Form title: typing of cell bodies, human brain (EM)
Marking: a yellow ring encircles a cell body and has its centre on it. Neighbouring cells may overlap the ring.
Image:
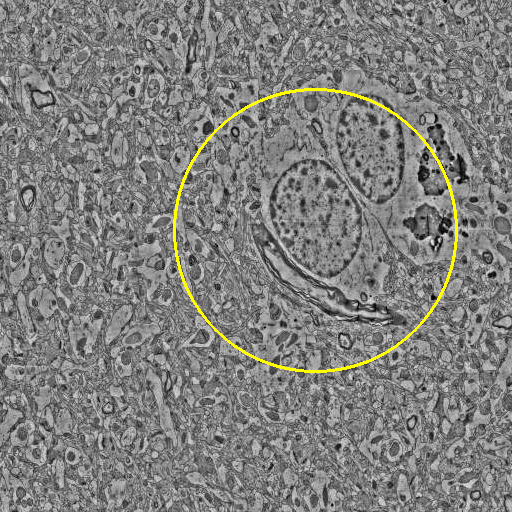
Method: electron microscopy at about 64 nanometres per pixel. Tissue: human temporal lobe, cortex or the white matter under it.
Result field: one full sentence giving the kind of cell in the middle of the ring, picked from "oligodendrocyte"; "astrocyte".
In the picture, the ring is centred on an astrocyte, whose cell body it encircles.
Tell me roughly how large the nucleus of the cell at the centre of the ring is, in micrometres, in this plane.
About 8 micrometres by about 6 micrometres in this plane.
